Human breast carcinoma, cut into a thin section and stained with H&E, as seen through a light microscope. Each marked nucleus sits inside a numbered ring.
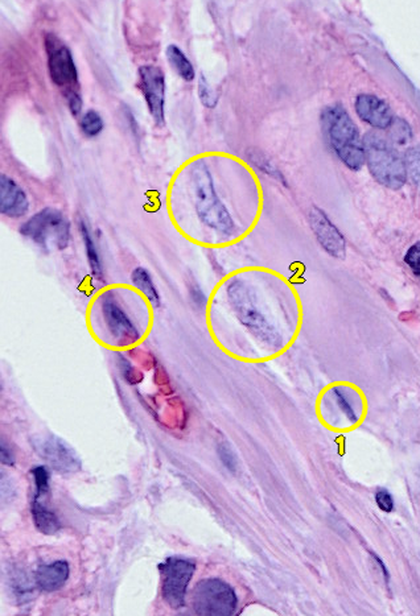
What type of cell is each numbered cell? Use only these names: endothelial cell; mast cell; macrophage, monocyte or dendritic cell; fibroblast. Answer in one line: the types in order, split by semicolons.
fibroblast; fibroblast; fibroblast; endothelial cell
